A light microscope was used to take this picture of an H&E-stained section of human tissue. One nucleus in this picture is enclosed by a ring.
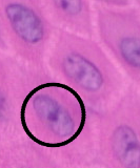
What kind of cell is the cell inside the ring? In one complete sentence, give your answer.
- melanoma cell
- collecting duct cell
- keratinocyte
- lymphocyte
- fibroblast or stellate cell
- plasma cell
By its classification, the cell inside the ring is a keratinocyte.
